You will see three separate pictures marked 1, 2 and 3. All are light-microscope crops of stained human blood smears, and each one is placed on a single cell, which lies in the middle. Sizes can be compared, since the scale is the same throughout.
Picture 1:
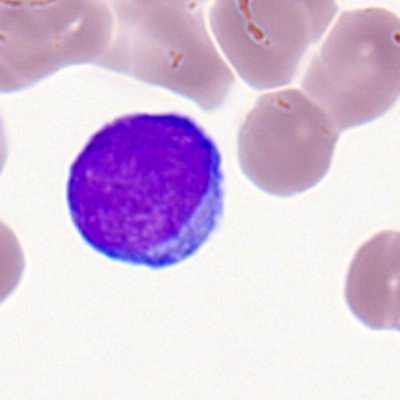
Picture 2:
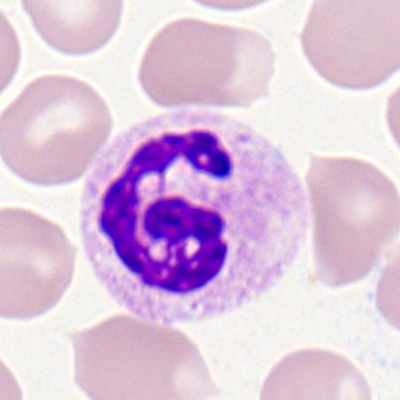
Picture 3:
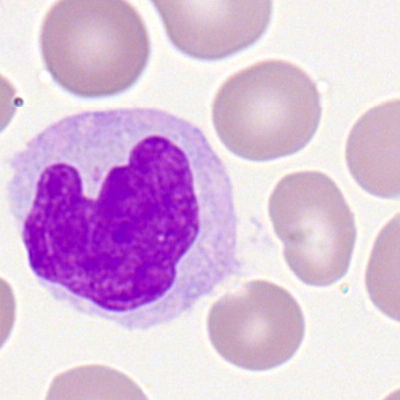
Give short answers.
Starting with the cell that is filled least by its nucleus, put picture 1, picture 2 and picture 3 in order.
2, 3, 1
